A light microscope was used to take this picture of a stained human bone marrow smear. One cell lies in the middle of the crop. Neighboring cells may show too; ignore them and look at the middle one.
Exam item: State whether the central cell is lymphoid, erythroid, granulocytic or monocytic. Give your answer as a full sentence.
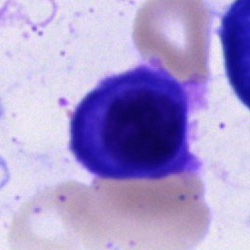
The central cell is grouped with the lymphoid lineage.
